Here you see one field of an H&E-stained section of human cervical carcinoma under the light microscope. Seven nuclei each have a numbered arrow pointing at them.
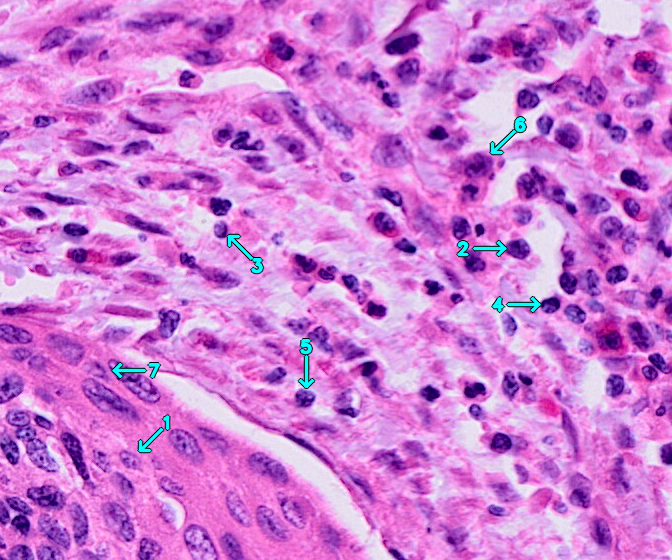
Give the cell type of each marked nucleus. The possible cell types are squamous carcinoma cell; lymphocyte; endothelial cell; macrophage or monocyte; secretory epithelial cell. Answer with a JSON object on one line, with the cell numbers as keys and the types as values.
{"1": "squamous carcinoma cell", "2": "lymphocyte", "3": "lymphocyte", "4": "lymphocyte", "5": "lymphocyte", "6": "macrophage or monocyte", "7": "squamous carcinoma cell"}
